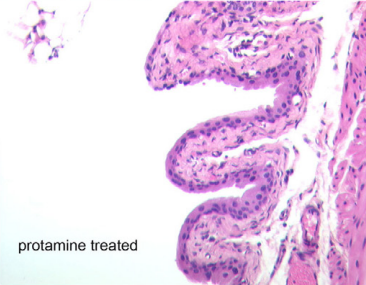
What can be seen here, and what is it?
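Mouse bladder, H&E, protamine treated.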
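The urothelium forms several rounded folds, each several cell layers thick with dense purple nuclei. The lamina propria in the fold cores is pale pink with scattered elongated nuclei. Toward the right, pink smooth muscle bundles are separated by thin white clefts. The lumen at the left is largely empty.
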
